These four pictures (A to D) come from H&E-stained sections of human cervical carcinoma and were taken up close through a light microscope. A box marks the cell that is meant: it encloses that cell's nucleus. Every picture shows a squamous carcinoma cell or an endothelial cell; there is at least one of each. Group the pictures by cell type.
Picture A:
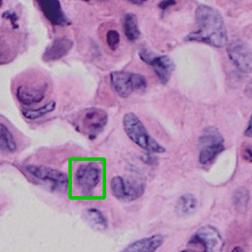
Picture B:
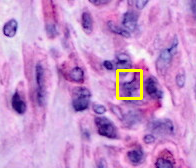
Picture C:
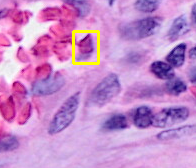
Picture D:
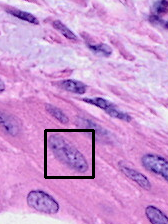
A: squamous carcinoma cell
B: endothelial cell
C: endothelial cell
D: squamous carcinoma cell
